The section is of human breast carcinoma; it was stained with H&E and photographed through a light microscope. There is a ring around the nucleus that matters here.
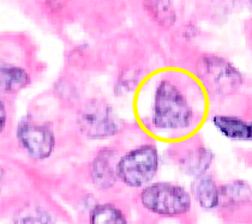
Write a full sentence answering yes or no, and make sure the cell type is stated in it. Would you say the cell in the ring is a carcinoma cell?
Yes, the cell in the ring in this section represents a carcinoma cell.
